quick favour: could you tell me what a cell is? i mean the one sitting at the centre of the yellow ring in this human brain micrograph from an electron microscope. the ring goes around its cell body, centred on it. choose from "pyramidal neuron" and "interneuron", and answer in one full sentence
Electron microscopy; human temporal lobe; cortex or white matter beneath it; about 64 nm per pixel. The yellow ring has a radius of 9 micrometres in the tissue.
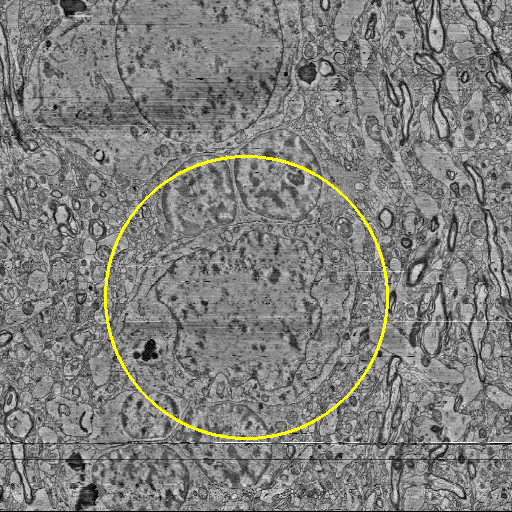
That's an interneuron, the cell sitting at the centre of the yellow ring.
